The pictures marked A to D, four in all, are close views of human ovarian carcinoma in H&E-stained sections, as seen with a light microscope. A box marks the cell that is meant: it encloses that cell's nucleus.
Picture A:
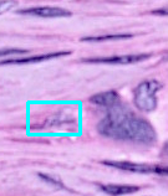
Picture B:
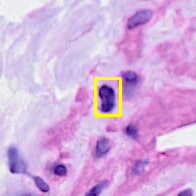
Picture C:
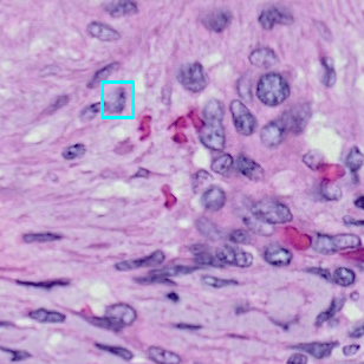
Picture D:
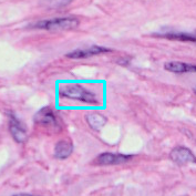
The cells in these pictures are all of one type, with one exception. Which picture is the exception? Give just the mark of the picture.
B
